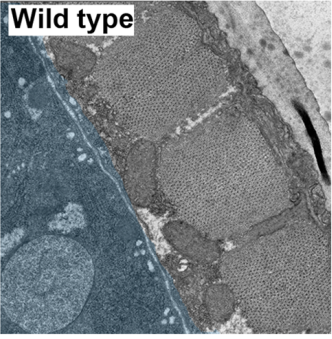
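This electron micrograph shows body wall muscle cytoplasm, where large blocks of densely packed contractile filaments, cut in cross-section so that they look like a fine dotted lattice, fill most of the unshaded area. Small dark mitochondria lie in narrow strips of cytoplasm between the filament blocks. The light-blue-shaded neighbouring tissue at the left contains a rounded nucleus.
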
